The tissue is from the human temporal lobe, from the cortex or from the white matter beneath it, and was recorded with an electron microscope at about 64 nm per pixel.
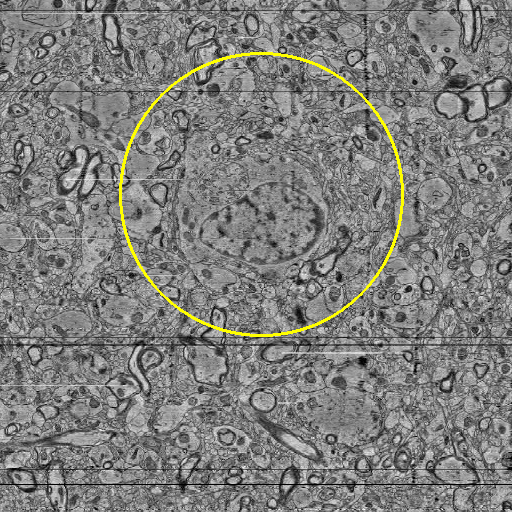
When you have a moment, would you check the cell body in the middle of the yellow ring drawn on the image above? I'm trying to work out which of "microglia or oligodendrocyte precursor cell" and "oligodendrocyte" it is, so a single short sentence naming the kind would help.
This cell body belongs to a microglial cell or oligodendrocyte precursor cell.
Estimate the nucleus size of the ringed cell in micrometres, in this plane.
In this plane, roughly 8 by 5 micrometres.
